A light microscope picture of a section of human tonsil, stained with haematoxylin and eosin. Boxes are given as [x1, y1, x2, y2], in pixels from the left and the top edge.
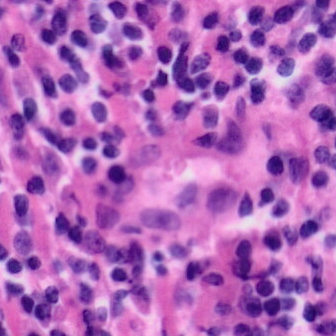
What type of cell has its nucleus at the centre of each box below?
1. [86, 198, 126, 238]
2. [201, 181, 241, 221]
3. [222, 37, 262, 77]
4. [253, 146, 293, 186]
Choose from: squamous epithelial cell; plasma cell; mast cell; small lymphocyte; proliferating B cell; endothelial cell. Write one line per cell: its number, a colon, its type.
1: endothelial cell
2: endothelial cell
3: small lymphocyte
4: endothelial cell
